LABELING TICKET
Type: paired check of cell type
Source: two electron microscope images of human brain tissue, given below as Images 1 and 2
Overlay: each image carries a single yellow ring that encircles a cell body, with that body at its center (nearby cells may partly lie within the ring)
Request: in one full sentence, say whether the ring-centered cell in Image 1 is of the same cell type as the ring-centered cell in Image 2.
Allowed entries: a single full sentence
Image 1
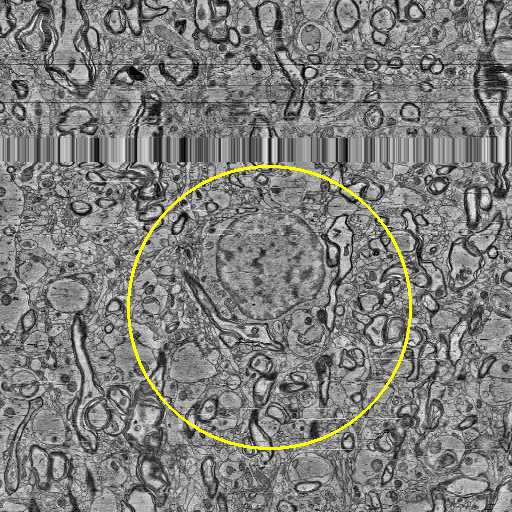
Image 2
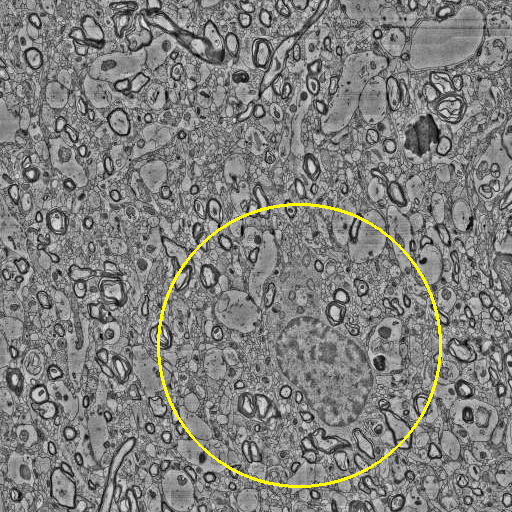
Yes, the cells centered in the rings of Image 1 and Image 2 share one type.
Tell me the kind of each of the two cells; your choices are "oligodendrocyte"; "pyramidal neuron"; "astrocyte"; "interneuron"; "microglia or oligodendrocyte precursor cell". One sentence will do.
In the first picture and in the second, the ring is centred on an oligodendrocyte.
